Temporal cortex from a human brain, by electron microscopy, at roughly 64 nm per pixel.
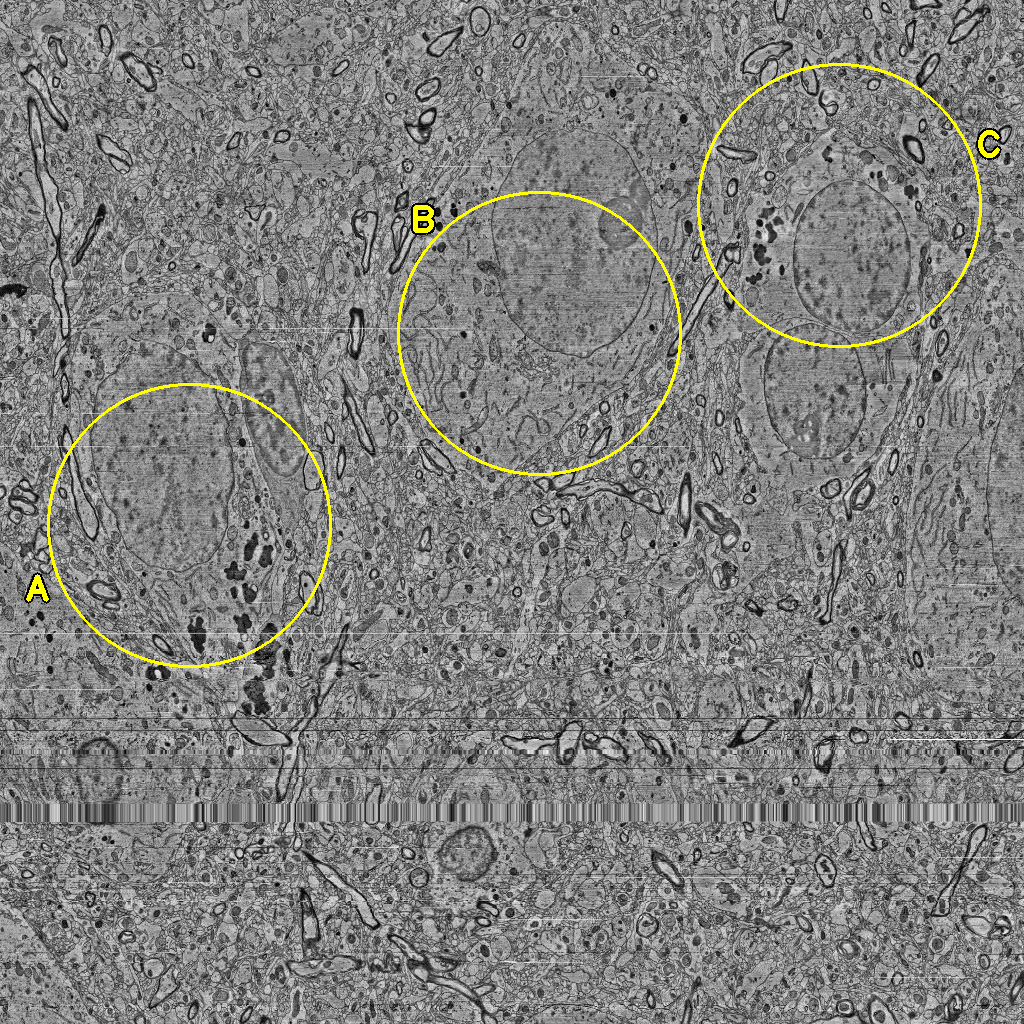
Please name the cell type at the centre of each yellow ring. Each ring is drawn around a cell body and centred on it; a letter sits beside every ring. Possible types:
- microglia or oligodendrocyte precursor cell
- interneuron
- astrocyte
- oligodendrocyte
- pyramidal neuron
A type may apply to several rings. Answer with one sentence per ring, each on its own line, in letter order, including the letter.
Ring A is centred on the cell body of an interneuron.
Ring B is centred on the cell body of a pyramidal neuron.
Ring C is centred on the cell body of an astrocyte.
